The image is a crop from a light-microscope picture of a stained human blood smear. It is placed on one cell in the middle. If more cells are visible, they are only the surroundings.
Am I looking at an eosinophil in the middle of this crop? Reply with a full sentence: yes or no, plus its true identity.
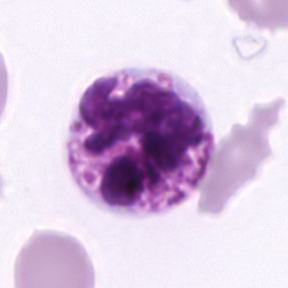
No, the centre of the crop contains a basophil rather than an eosinophil.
